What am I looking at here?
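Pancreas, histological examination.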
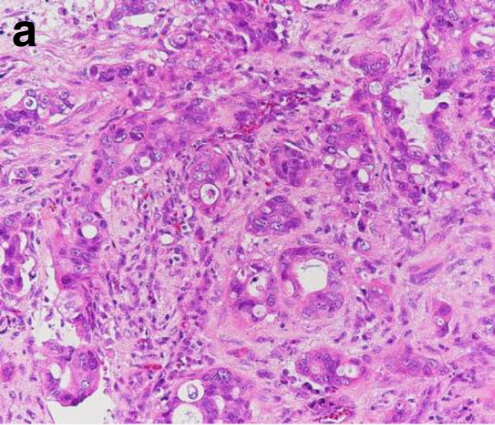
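Nests and cords of atypical epithelial cells infiltrate a pink, cellular fibrous stroma. Many clusters form small, irregular lumina that contain pale material, while others are solid or angulated. The glands are crowded and poorly ordered, unlike normal ducts.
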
